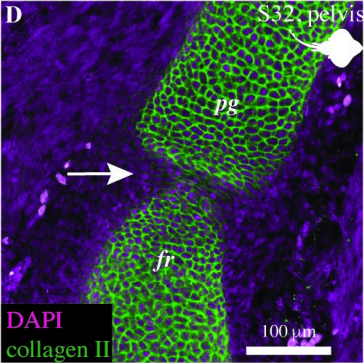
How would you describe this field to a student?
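Two blocks of cartilage, each a dense field of small chondrocytes enclosed in a green polygonal mesh of matrix, lie end to end. Where they meet there is no open gap; instead a narrow constricted band of fainter, fibrous green tissue bridges them. Surrounding the cartilage is loose tissue with scattered nuclei.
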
